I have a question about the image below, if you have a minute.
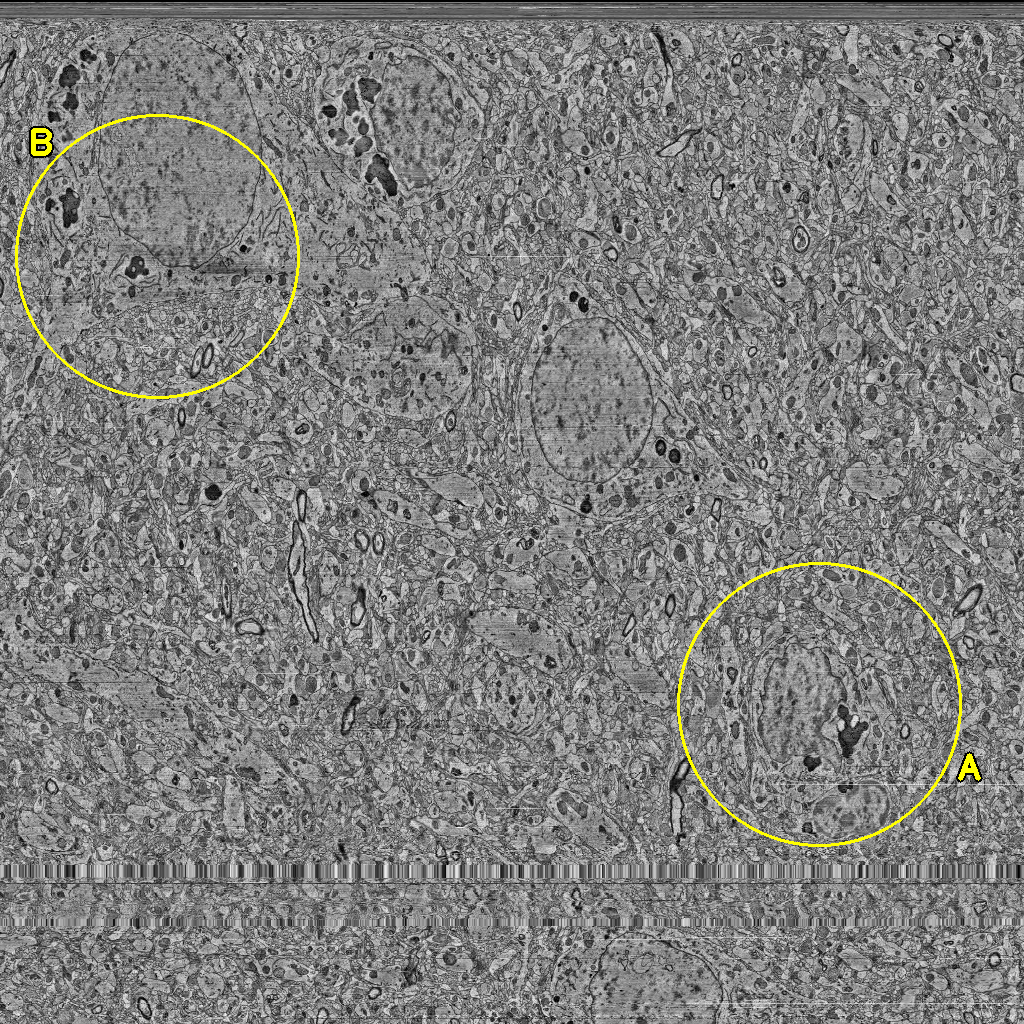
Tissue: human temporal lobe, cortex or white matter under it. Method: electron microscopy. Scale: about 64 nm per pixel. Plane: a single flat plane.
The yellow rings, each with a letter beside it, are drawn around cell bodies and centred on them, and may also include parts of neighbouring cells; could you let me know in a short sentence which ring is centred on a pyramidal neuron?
Ring B is centred on it.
